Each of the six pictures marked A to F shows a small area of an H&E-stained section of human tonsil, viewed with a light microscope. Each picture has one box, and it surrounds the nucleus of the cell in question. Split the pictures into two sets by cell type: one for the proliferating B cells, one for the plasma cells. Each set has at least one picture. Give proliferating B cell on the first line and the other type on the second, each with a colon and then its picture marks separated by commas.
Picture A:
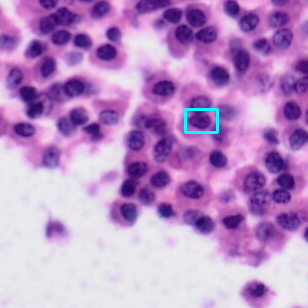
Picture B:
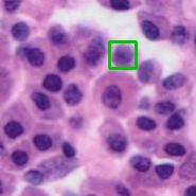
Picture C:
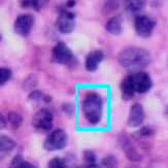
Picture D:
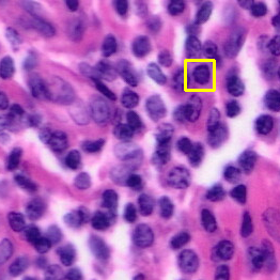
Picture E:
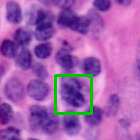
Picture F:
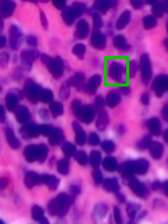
proliferating B cell: C, E
plasma cell: A, B, D, F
